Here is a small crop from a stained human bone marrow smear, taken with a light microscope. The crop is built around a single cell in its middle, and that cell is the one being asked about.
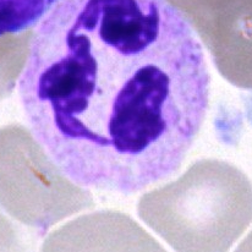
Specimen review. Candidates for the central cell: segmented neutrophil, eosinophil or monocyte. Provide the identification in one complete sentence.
Regarding the central cell, it is a segmented neutrophil.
